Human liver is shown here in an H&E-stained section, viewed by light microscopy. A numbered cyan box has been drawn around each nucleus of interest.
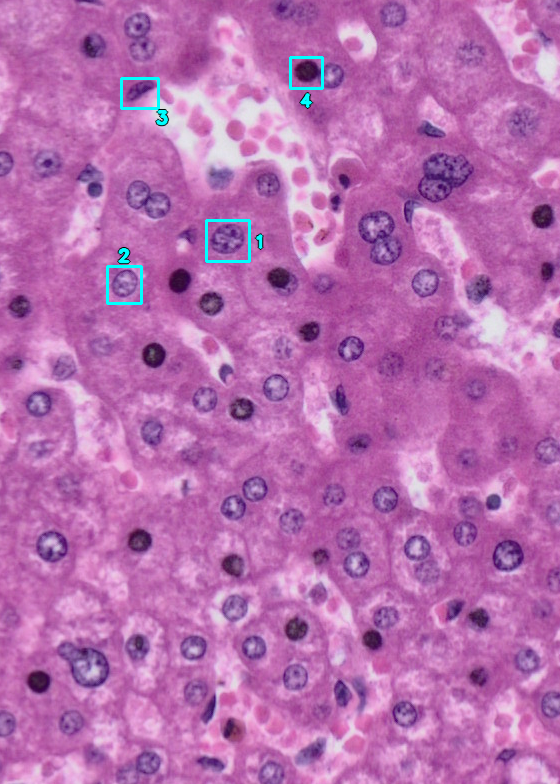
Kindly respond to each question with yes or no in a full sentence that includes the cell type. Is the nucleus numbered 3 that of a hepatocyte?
No, cell 3 is classified as a fibroblast or stellate cell rather than a hepatocyte.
